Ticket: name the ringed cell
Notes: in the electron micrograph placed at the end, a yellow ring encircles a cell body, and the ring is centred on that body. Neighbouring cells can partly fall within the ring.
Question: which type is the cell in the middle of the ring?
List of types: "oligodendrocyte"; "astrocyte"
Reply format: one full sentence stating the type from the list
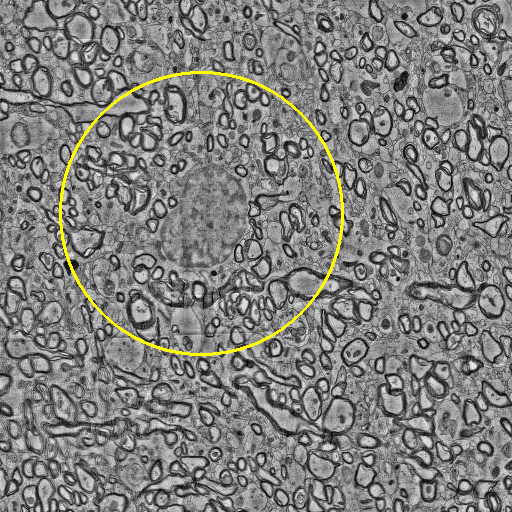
The cell sitting at the centre of the yellow ring is an oligodendrocyte.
